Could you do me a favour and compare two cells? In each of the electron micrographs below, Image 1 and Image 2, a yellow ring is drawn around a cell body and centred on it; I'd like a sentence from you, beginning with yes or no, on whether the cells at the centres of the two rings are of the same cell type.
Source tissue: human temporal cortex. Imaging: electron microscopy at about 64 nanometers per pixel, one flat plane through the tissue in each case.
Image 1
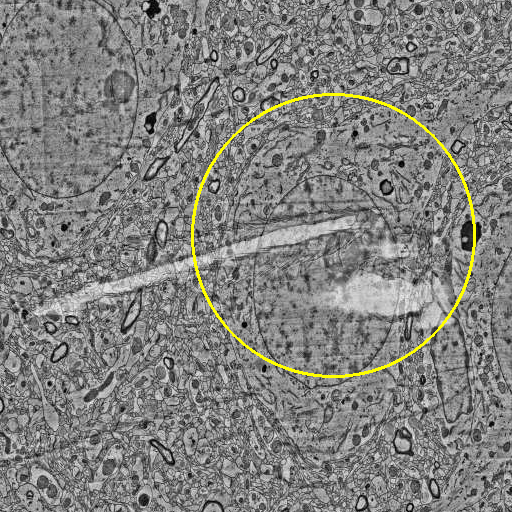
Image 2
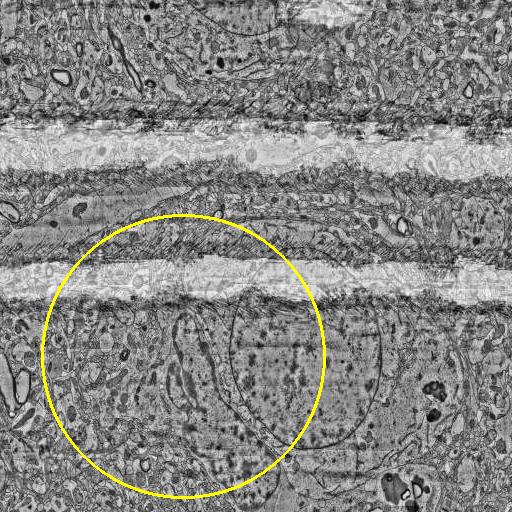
No, the two cells are of two cell types.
